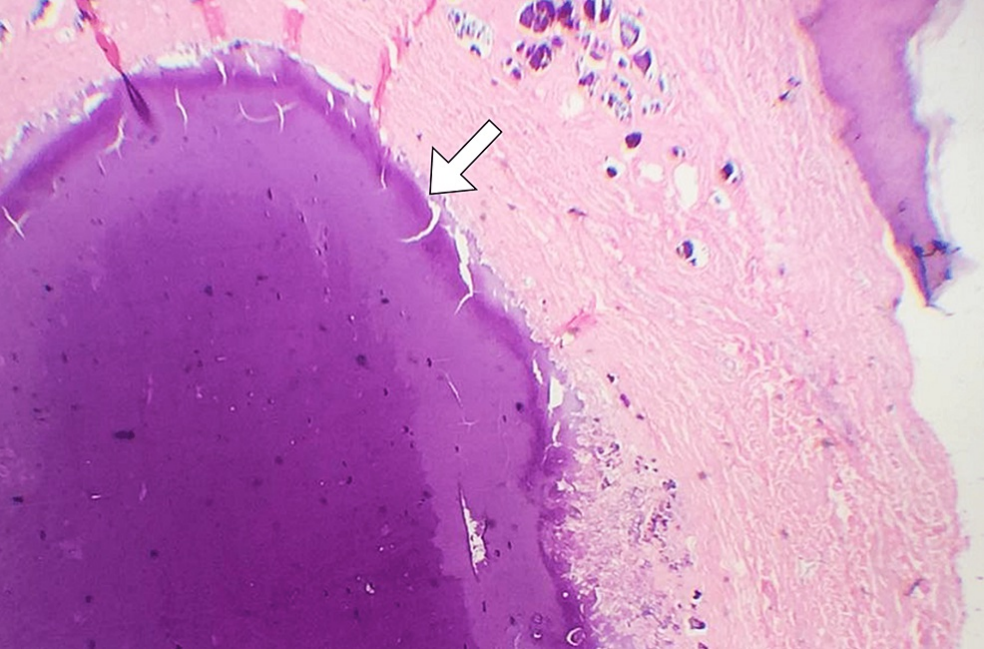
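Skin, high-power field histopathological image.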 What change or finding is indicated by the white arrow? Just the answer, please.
Basophilic calcified material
